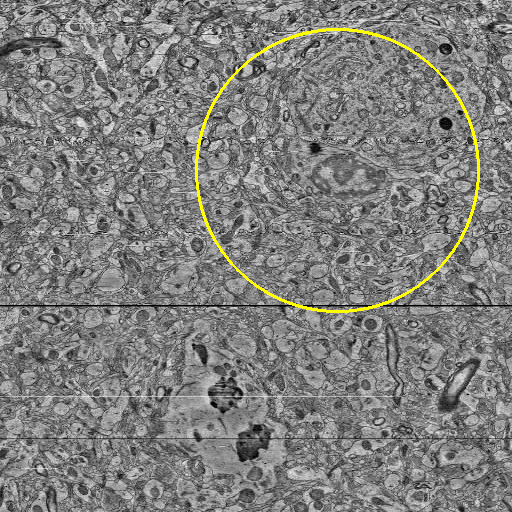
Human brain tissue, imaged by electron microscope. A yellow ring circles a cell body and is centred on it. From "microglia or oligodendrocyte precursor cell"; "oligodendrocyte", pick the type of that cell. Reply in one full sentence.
The cell body at the centre of the yellow ring belongs to an oligodendrocyte.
